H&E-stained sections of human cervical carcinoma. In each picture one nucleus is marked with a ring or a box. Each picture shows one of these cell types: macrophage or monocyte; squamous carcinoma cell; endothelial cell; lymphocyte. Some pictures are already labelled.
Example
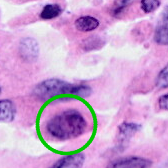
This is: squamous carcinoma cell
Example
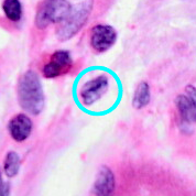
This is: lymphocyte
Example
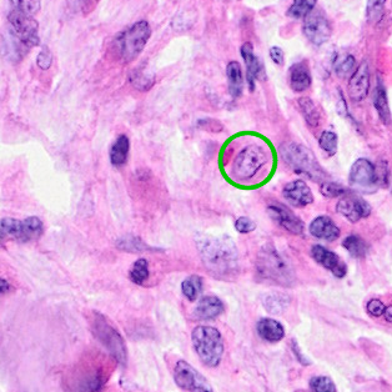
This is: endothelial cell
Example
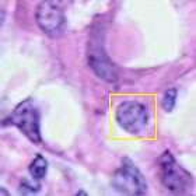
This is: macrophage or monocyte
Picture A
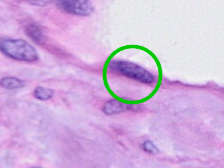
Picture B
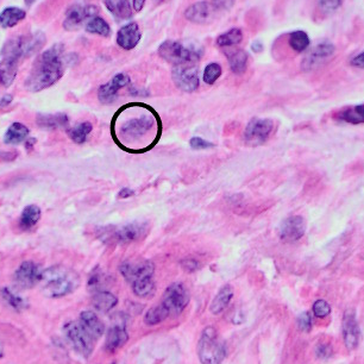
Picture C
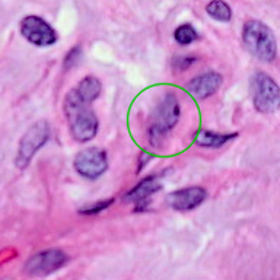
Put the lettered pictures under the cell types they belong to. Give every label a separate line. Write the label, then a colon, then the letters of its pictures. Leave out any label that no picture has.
macrophage or monocyte: B
endothelial cell: A, C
